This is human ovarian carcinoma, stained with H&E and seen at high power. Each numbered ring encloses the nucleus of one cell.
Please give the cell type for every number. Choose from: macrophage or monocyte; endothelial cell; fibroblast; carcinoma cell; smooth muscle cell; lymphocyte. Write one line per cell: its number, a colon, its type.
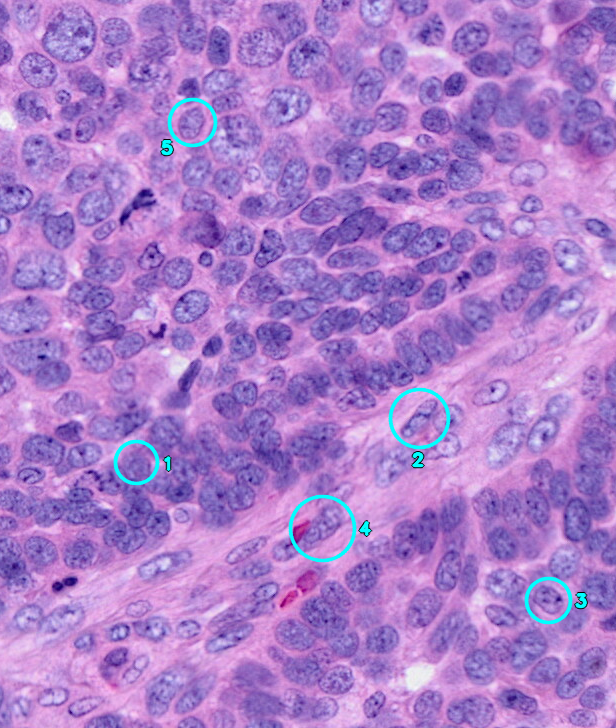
1: carcinoma cell
2: fibroblast
3: macrophage or monocyte
4: endothelial cell
5: carcinoma cell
